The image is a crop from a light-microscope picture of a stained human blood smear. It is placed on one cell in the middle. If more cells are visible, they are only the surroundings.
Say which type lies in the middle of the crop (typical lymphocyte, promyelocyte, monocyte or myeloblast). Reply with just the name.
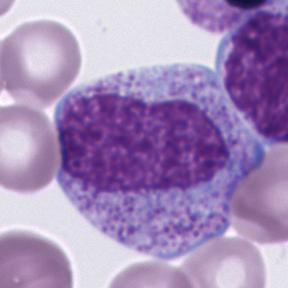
promyelocyte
